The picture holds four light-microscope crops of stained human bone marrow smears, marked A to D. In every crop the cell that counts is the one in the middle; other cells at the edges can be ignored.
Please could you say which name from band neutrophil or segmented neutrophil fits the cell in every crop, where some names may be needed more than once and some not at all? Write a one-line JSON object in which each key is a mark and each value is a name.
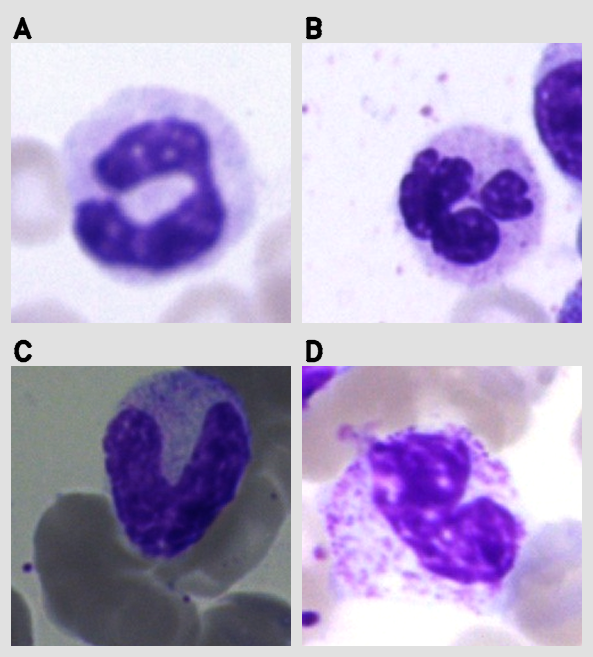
{"A": "segmented neutrophil", "B": "segmented neutrophil", "C": "band neutrophil", "D": "segmented neutrophil"}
